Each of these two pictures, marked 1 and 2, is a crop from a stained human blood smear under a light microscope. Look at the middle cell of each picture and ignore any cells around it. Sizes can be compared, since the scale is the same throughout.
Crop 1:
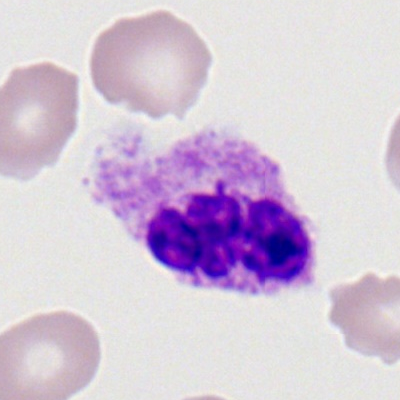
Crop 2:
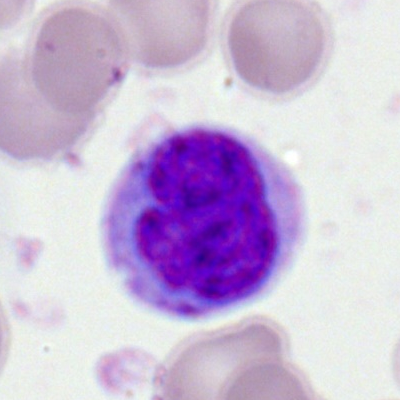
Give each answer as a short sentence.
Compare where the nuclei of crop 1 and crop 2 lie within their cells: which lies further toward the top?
The nucleus in crop 2 lies further toward the top of its cell.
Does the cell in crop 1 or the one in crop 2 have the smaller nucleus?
The nucleus in crop 1 is smaller; the one in crop 2 has about 1.5 times its area.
